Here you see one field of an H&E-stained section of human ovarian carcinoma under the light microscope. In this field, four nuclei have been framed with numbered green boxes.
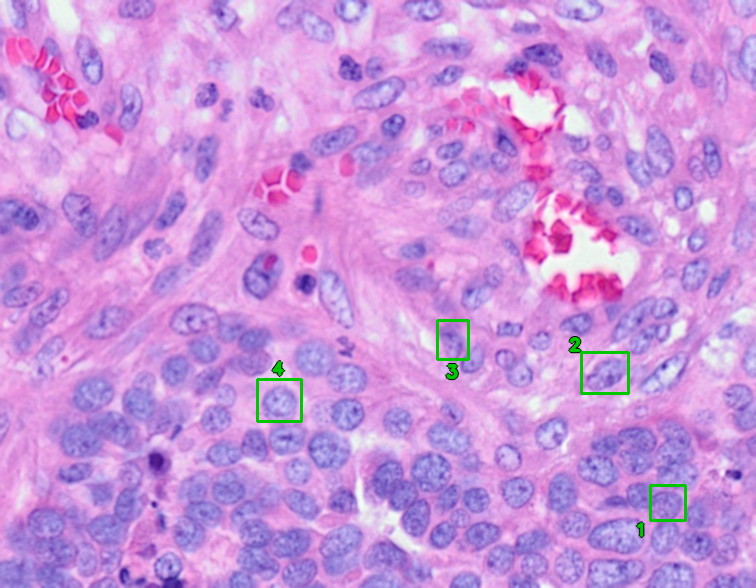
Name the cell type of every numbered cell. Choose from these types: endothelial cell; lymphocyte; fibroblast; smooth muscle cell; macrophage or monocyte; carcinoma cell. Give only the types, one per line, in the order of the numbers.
carcinoma cell
fibroblast
fibroblast
carcinoma cell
